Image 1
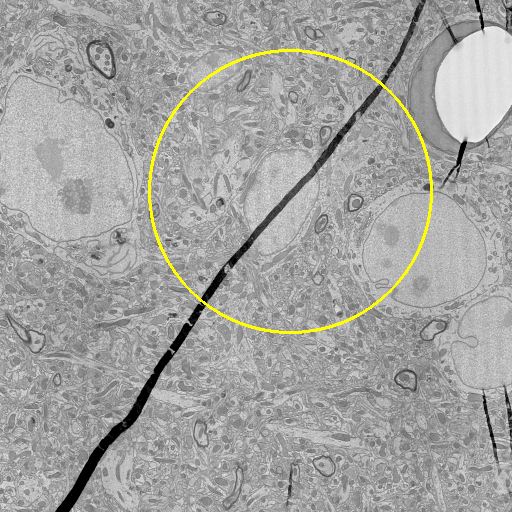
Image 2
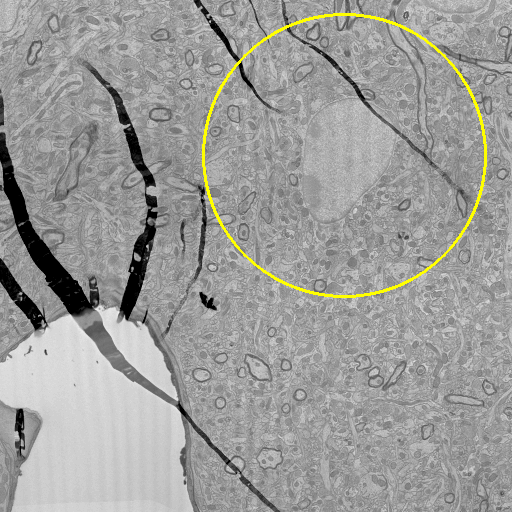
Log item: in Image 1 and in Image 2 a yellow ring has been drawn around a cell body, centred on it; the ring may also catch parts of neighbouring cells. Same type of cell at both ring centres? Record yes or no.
yes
